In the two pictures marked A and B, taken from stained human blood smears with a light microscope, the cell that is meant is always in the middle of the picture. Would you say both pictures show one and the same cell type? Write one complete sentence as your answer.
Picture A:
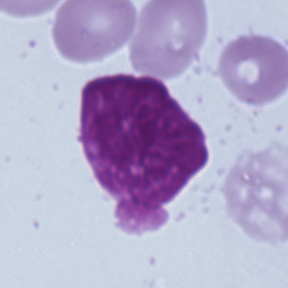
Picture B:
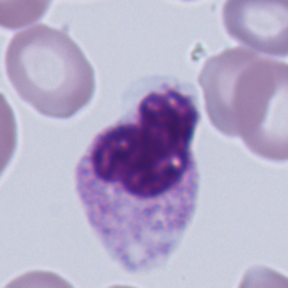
No, they differ: the cell is a smudge cell in picture A and a segmented neutrophil in picture B.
